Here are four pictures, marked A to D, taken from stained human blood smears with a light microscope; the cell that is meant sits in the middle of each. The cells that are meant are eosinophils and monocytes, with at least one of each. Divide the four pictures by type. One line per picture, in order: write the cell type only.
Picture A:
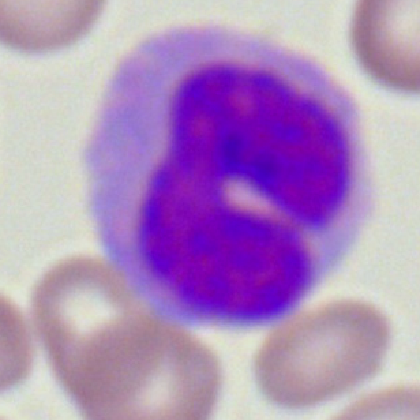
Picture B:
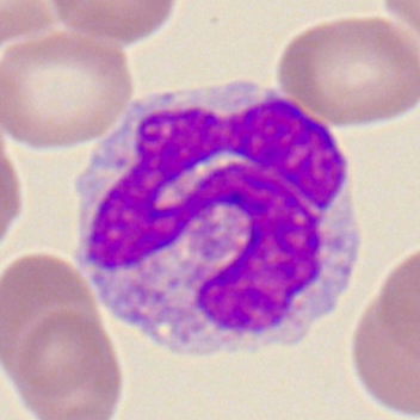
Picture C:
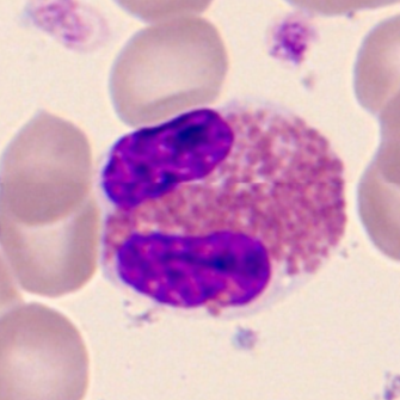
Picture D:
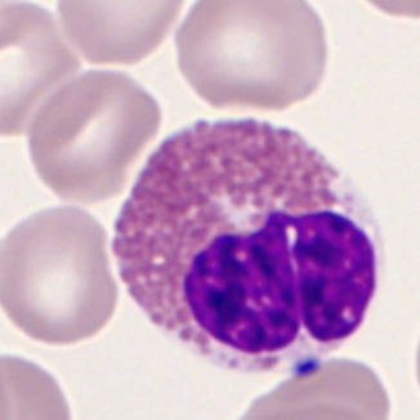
monocyte
monocyte
eosinophil
eosinophil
